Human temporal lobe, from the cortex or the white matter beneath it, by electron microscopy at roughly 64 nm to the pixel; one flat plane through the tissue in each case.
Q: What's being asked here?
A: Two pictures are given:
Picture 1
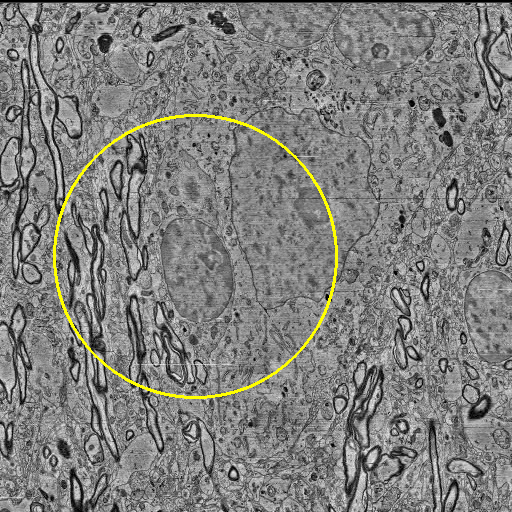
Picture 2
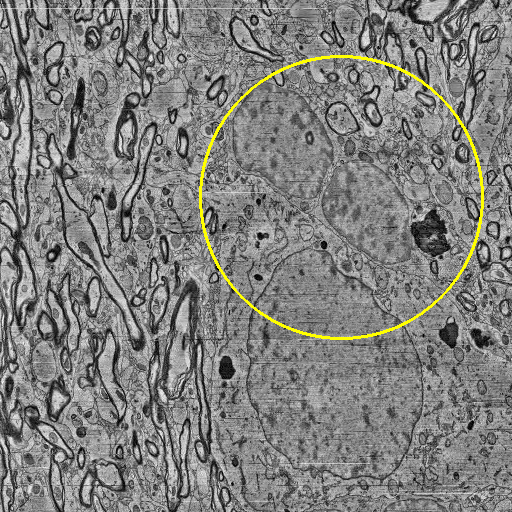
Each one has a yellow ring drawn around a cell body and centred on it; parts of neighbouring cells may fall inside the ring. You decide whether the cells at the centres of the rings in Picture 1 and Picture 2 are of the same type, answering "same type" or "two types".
same type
